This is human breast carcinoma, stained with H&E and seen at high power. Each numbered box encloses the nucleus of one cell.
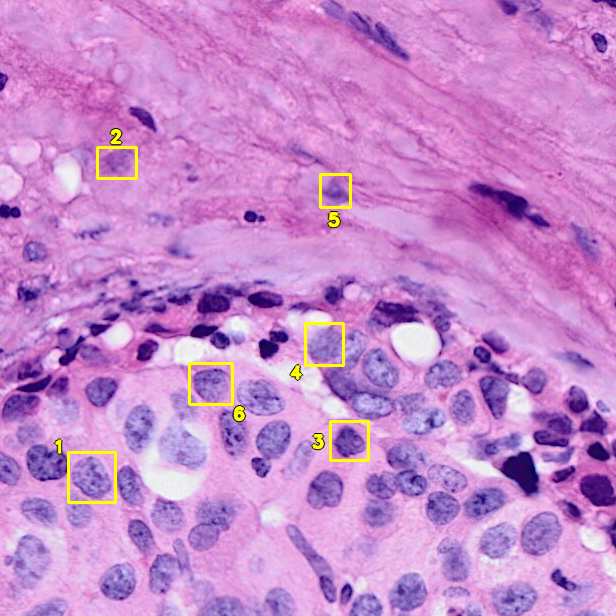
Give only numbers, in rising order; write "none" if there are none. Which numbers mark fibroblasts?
2, 5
